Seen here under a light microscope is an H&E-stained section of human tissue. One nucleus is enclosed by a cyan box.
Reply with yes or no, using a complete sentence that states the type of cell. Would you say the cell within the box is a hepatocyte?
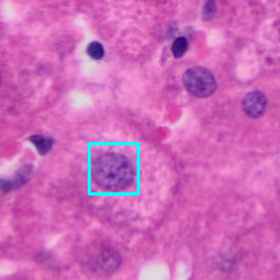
Yes, the cell within the box in this section represents a hepatocyte.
